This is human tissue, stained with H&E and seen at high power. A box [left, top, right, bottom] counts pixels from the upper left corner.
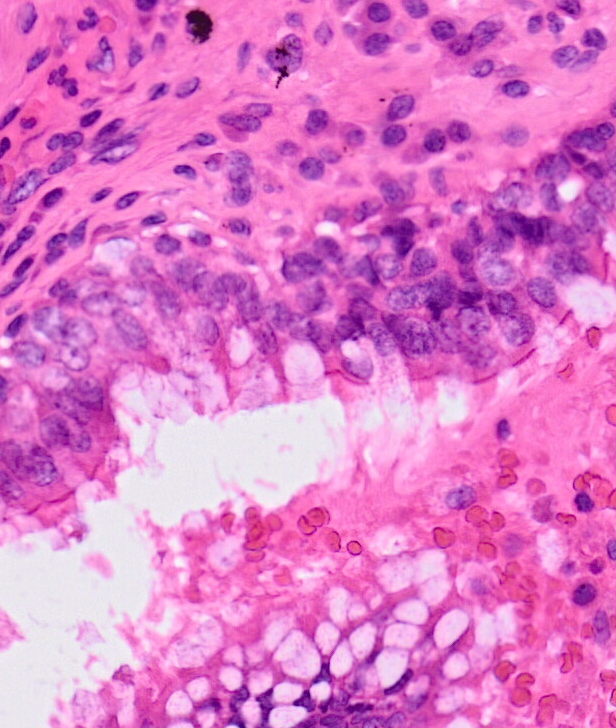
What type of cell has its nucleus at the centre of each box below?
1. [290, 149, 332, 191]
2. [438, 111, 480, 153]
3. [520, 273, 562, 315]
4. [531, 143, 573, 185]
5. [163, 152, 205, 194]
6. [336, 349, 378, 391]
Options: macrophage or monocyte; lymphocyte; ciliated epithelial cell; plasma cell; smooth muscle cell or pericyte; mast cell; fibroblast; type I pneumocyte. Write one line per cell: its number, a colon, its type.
1: plasma cell
2: plasma cell
3: ciliated epithelial cell
4: ciliated epithelial cell
5: mast cell
6: ciliated epithelial cell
